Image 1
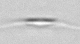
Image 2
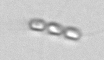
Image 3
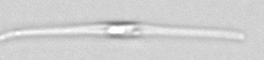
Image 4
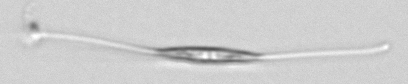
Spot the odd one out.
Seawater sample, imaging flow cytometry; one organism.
Picture 2 (Chaetoceros among Cylindrotheca).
